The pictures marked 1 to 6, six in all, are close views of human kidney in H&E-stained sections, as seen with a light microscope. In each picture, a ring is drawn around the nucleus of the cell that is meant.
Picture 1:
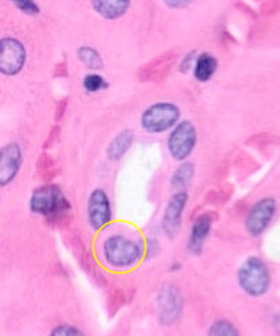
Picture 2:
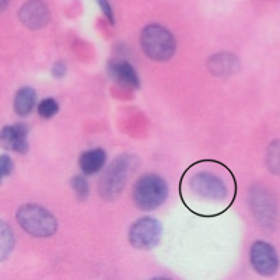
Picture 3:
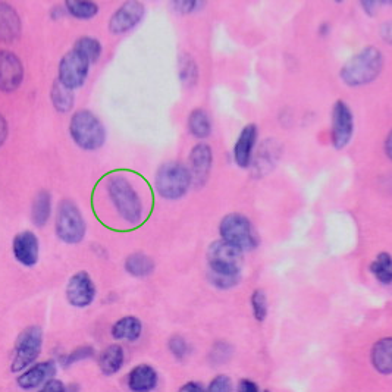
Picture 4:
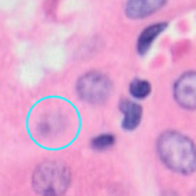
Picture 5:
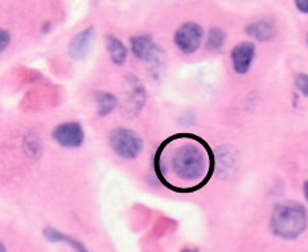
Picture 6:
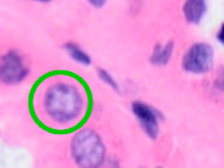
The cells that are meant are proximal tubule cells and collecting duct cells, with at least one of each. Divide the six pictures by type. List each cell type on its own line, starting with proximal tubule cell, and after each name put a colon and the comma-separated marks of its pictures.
proximal tubule cell: 4, 6
collecting duct cell: 1, 2, 3, 5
